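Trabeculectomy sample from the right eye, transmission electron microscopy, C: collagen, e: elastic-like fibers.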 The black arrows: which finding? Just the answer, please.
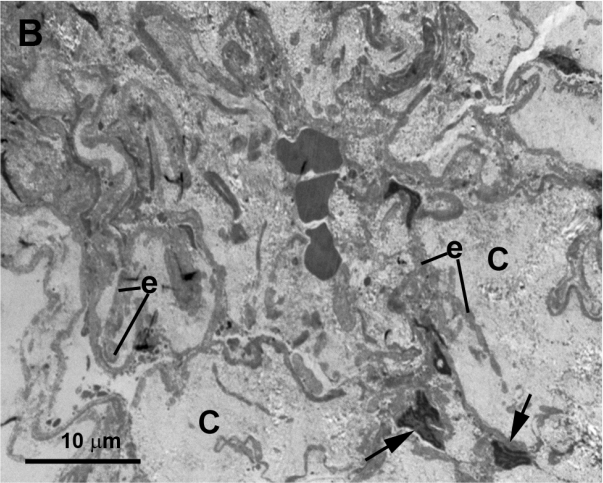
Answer: Apoptosis.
